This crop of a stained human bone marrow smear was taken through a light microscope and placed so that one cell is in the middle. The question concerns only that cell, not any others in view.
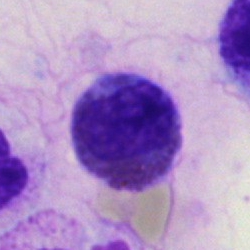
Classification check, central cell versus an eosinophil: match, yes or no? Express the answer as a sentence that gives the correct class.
Yes, an eosinophil is present in the middle of the crop.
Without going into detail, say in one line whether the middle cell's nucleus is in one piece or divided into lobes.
The nucleus holds together as a single compact mass, round, oval or kidney-like.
